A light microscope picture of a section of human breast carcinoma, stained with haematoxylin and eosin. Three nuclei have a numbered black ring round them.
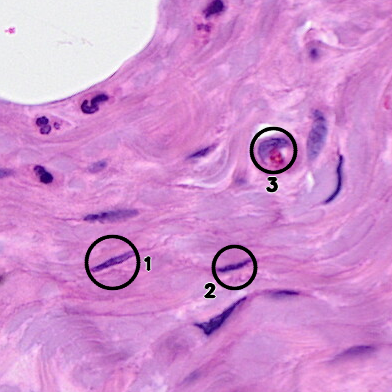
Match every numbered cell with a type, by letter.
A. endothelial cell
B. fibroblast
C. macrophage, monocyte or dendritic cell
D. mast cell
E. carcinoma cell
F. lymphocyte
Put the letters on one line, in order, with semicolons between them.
B; B; A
